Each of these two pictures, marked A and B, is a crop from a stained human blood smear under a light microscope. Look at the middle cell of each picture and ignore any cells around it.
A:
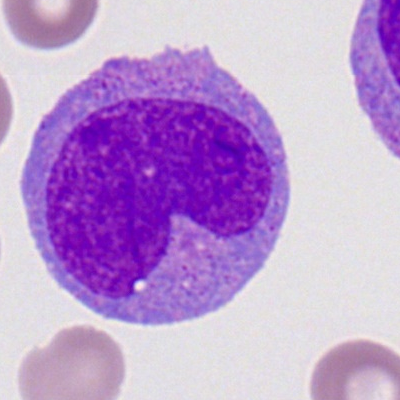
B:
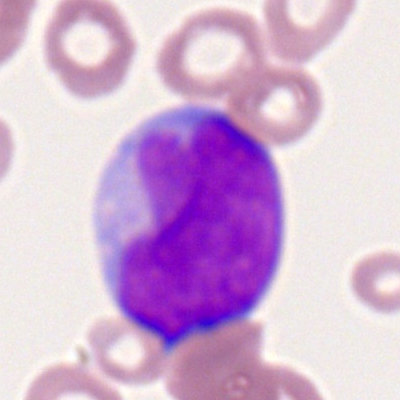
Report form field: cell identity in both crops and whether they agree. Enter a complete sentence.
Yes, what both crops show is myeloblasts.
